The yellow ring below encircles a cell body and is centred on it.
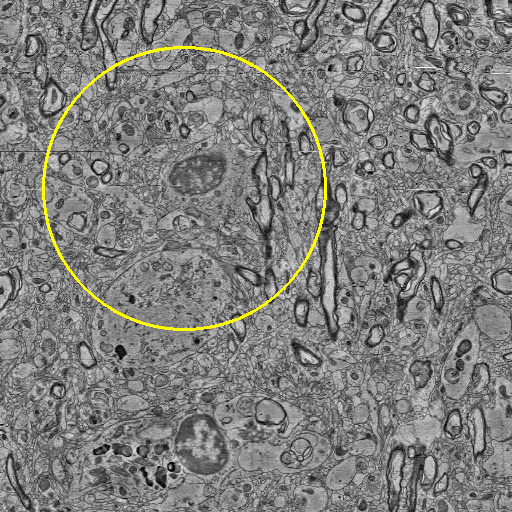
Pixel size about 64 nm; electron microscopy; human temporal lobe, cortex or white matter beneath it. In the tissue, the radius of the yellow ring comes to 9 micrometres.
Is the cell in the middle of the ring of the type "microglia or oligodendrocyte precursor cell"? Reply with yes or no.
no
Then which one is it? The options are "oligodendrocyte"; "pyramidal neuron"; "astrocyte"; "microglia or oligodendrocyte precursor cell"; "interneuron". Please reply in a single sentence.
The correct answer is that the cell is an oligodendrocyte.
